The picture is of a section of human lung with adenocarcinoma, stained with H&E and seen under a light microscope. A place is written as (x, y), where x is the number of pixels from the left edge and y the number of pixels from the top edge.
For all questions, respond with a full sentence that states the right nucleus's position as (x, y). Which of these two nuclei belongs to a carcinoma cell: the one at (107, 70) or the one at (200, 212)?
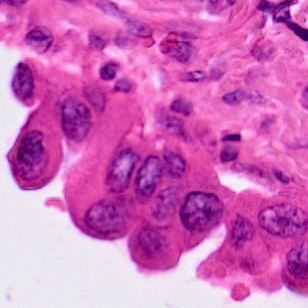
The nucleus that belongs to a carcinoma cell sits at (200, 212).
